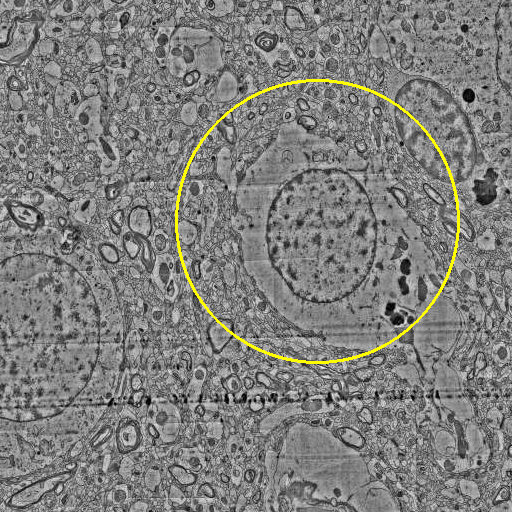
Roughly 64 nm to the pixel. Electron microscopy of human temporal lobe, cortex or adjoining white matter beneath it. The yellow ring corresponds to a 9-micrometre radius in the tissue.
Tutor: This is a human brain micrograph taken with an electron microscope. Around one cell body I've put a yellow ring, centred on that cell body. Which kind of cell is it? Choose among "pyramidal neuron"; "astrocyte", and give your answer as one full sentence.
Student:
Going by your list, the cell centred in the yellow ring is an astrocyte.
